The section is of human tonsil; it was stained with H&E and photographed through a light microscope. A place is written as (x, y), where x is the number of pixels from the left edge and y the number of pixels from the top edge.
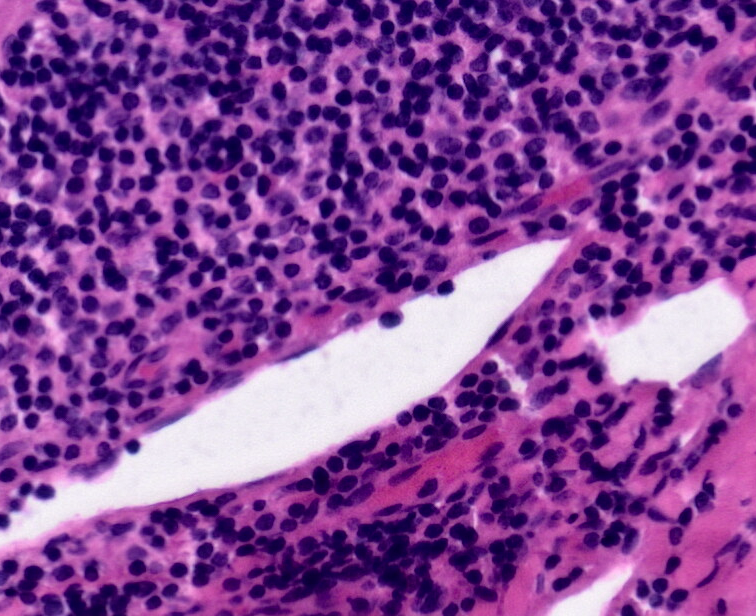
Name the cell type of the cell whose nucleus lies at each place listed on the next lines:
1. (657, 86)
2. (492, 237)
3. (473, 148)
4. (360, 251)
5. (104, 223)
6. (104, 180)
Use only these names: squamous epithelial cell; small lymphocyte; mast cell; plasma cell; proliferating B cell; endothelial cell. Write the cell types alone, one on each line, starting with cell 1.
endothelial cell
endothelial cell
small lymphocyte
small lymphocyte
small lymphocyte
small lymphocyte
